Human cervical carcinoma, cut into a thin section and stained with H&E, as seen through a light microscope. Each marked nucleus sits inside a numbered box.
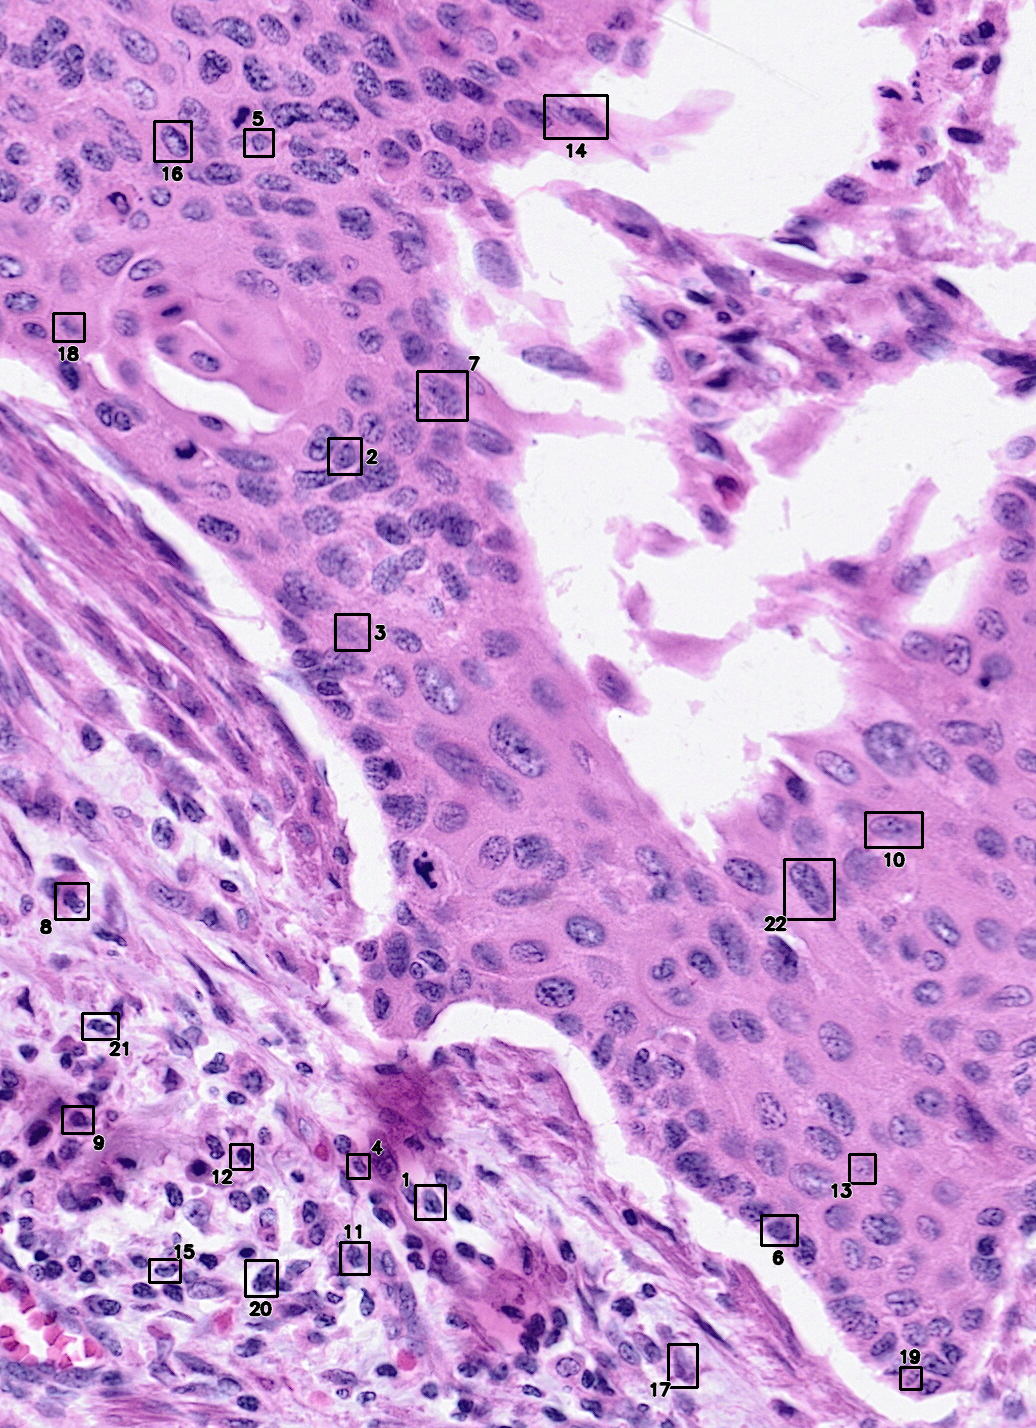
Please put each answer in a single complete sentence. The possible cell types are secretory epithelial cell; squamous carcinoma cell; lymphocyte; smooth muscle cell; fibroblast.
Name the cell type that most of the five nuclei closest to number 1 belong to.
Lymphocytes account for more than half of the five nuclei nearest to number 1.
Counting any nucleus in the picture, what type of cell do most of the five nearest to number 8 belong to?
Of the five nuclei nearest to number 8, most belong to lymphocytes.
